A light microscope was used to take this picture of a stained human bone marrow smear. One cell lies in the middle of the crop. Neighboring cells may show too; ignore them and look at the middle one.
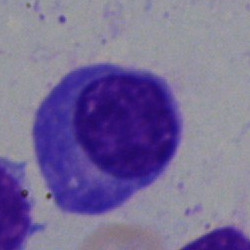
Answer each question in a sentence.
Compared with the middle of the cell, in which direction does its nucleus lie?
It is shifted toward the upper right of the cell.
